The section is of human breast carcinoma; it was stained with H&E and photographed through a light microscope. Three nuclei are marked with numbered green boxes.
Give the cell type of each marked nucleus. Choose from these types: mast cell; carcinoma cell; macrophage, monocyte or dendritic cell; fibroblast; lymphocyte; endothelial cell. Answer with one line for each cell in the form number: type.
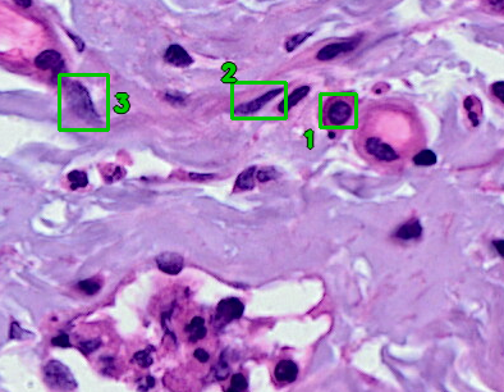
1: mast cell
2: fibroblast
3: fibroblast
